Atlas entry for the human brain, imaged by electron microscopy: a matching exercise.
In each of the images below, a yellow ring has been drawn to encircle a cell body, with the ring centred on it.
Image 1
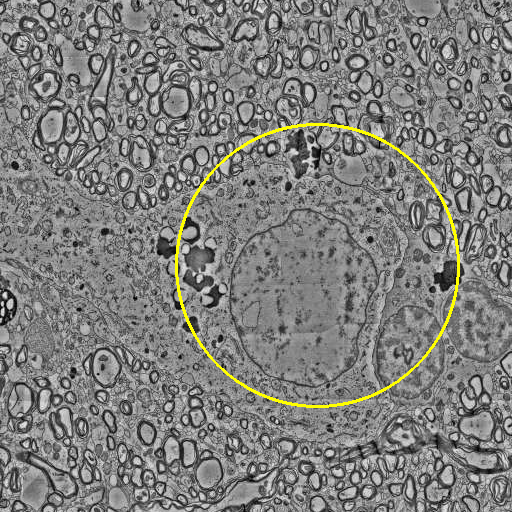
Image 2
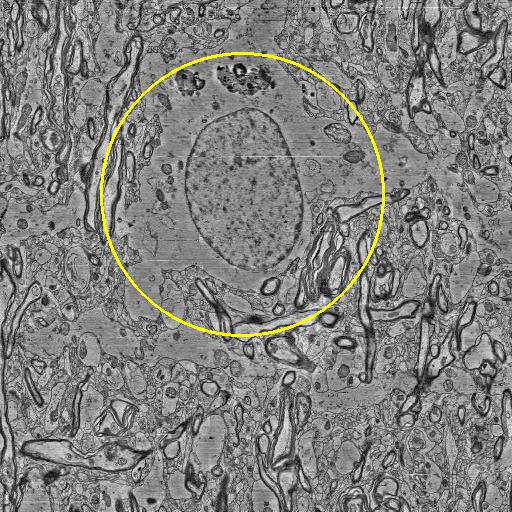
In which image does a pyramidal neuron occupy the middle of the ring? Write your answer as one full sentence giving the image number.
In image 1, the ring is centred on the cell in question.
